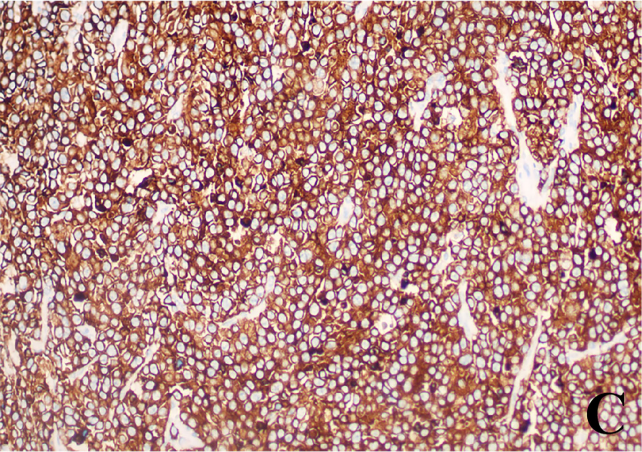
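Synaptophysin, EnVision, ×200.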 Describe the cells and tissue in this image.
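This shows densely packed tumour cells with strong, diffuse brown staining throughout the field. The brown lies in the cytoplasm, outlining each cell, while the round nuclei stay pale and unstained, giving a cobblestone look. Only a few thin slit-like vessels interrupt the solid sheet, and there are almost no unstained tumour cells.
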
